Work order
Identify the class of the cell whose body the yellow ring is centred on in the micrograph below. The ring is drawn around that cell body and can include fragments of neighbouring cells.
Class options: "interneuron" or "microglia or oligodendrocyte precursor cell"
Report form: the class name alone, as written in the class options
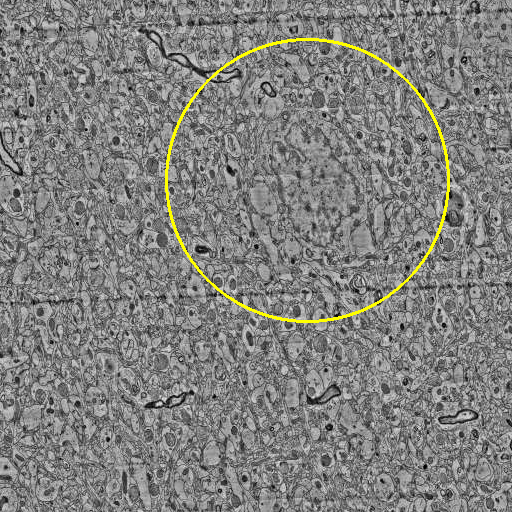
interneuron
